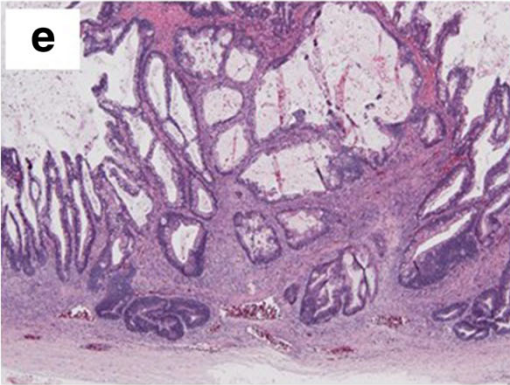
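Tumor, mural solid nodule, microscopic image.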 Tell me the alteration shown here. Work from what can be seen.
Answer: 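Stromal invasion. Irregular gland clusters extend downward from the papillary surface into underlying stroma. Malignant-looking glands lie deep within cellular stroma near vessels.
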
